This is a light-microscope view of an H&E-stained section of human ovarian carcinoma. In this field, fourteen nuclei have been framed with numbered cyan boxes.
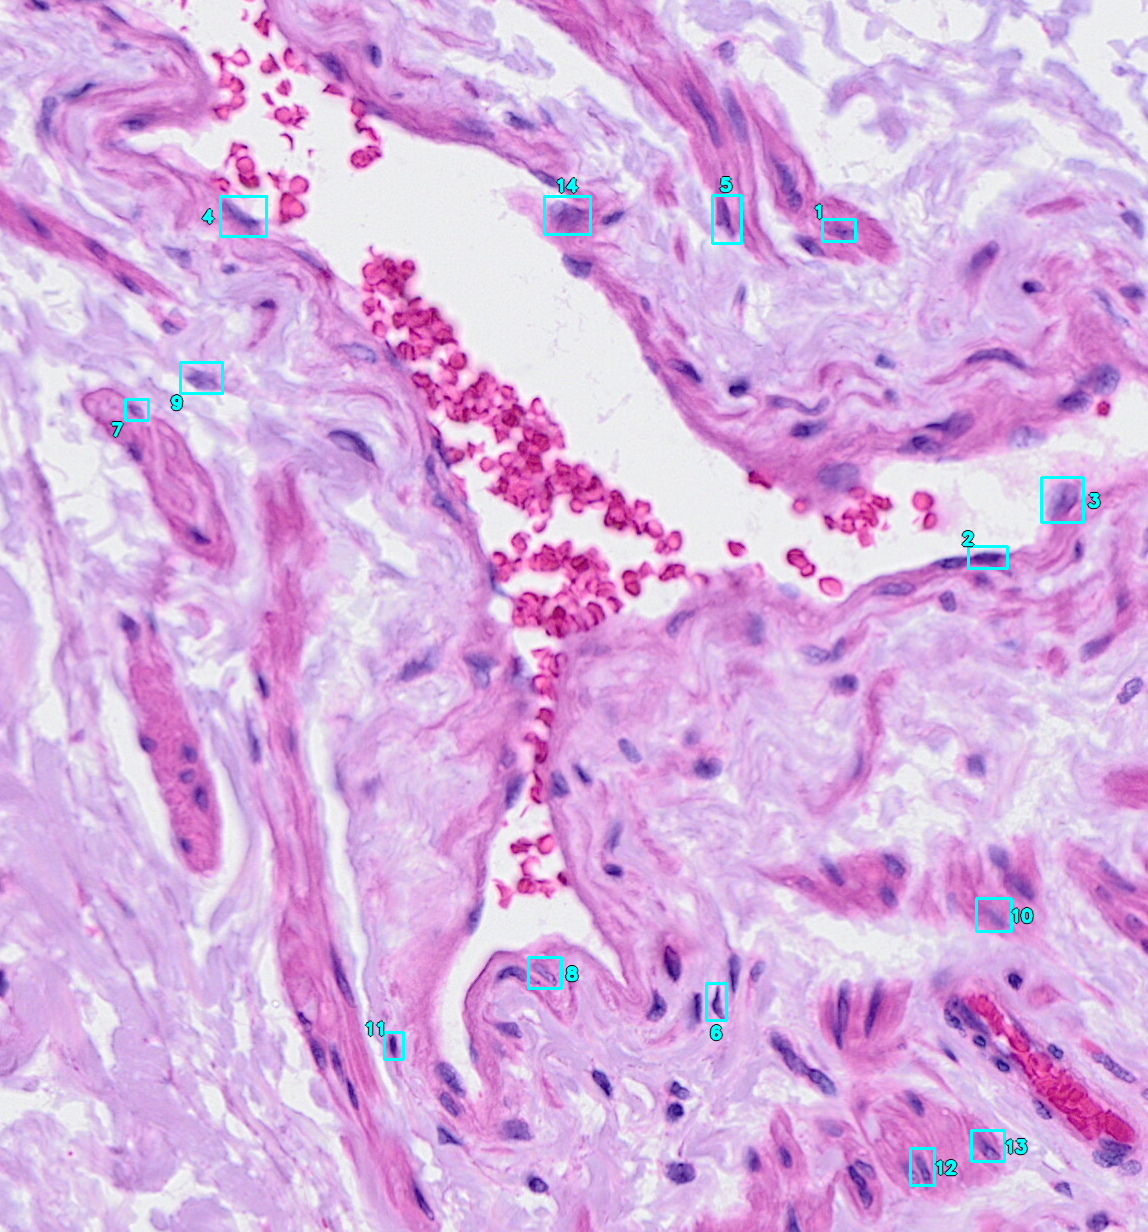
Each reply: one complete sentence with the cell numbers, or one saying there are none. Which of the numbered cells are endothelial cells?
The cells picked out by numbers 2, 3, 4 and 14 are endothelial cells.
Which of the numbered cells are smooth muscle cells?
In this section, the cells numbered 1, 5, 7, 8, 10, 11, 12 and 13 are smooth muscle cells.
